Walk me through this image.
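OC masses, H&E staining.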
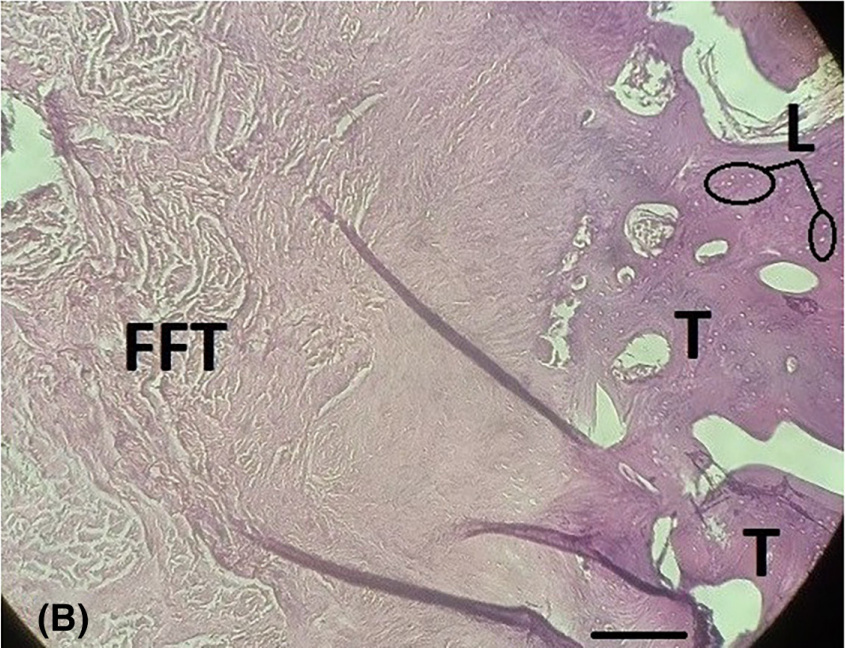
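Fibro-fatty tissue lies beside forming bone trabeculae in this field. On one side, pale pink fibrous tissue runs in wavy, loosely packed strands with many small clear clefts between them, and long dark purple streaks cross it. On the other side, denser, deeper purple trabeculae of bone matrix are interrupted by rounded and irregular clear spaces. Tiny lacunae are scattered as small pale dots within this darker matrix.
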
